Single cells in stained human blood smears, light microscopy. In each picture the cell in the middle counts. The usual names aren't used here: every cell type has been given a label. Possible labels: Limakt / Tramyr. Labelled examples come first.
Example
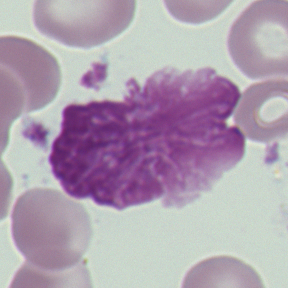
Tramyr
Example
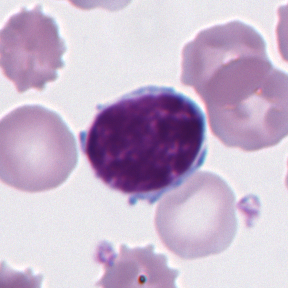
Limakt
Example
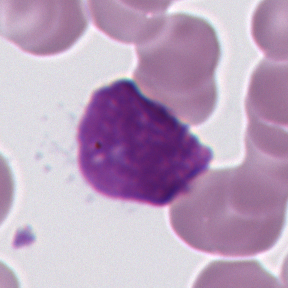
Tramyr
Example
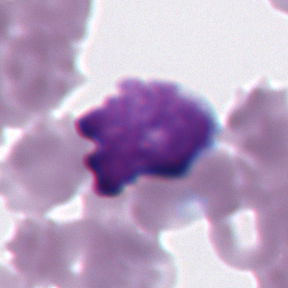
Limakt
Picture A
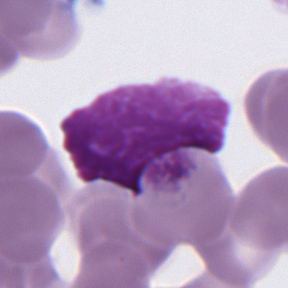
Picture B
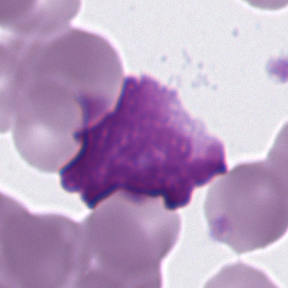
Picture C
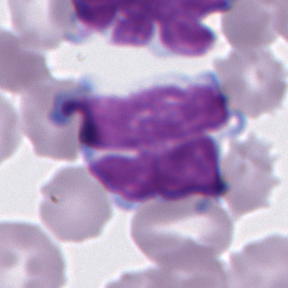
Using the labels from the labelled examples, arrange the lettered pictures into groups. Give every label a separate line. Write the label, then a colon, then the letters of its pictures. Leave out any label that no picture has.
Limakt: C
Tramyr: A, B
